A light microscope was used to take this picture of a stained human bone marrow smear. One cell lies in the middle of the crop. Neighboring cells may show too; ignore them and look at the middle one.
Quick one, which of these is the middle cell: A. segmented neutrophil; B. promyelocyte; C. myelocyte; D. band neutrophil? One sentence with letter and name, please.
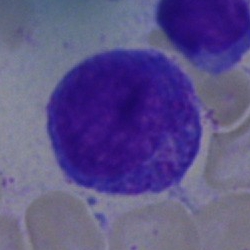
According to option B, which is correct, the cell in the middle is a promyelocyte.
